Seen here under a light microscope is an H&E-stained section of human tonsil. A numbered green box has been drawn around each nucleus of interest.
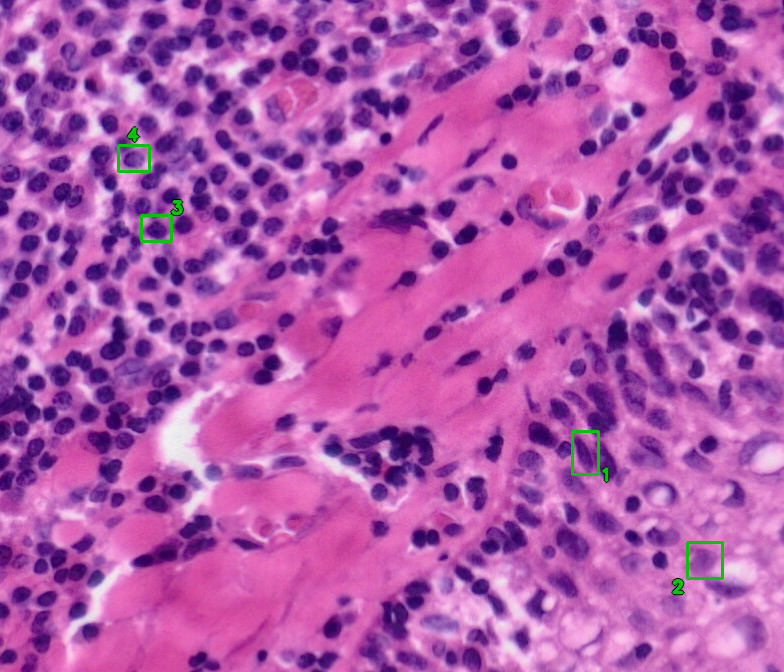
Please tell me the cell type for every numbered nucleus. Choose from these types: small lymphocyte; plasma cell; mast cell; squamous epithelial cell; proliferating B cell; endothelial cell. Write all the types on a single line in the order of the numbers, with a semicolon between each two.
squamous epithelial cell; squamous epithelial cell; plasma cell; plasma cell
